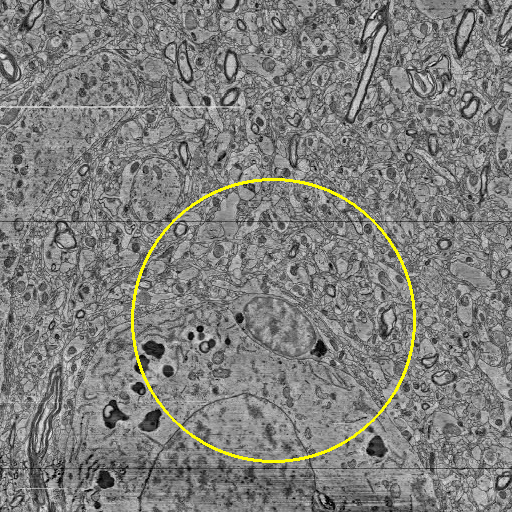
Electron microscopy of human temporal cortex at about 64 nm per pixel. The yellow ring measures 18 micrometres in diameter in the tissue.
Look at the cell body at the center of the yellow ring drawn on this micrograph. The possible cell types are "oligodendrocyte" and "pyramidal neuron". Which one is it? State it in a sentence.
The cell in the middle of the ring is an oligodendrocyte.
